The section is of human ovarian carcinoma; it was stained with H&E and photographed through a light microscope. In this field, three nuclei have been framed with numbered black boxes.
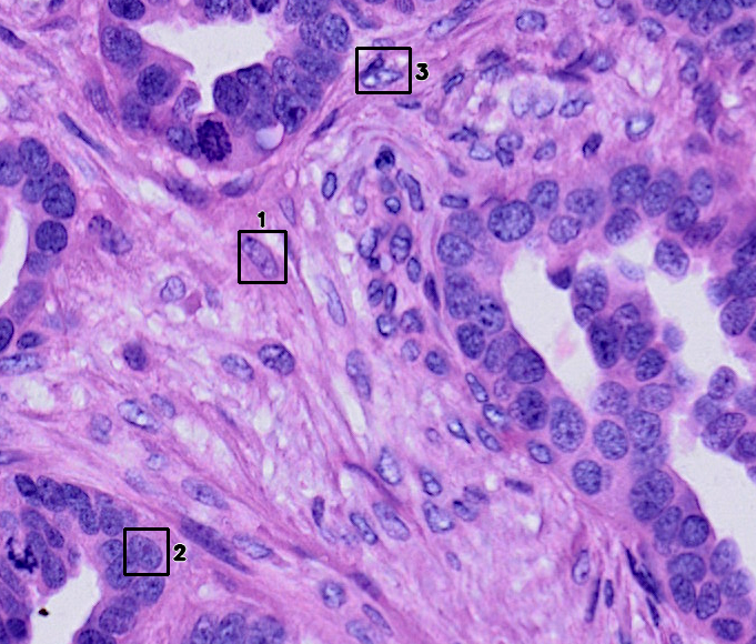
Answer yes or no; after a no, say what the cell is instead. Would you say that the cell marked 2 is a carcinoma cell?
Yes.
